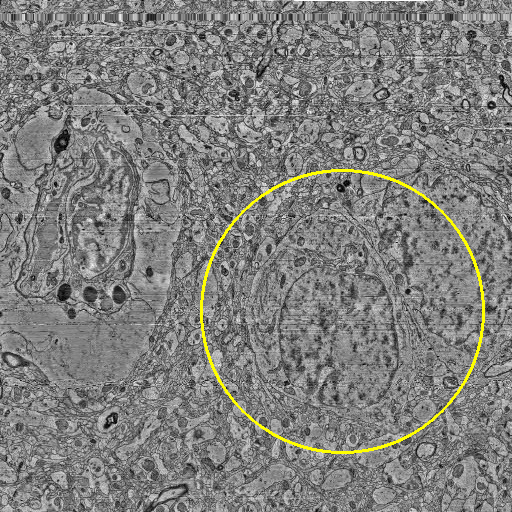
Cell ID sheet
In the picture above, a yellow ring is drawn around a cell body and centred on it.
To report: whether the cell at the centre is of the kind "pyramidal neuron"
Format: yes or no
no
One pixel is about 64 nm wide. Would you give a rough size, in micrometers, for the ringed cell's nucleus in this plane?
Approximately 10 micrometres long and 8 micrometres wide, in this plane.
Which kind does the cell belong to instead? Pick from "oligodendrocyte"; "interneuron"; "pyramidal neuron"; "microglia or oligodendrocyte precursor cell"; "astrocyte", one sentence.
At the centre of the ring sits an interneuron.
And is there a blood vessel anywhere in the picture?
Yes, there is a blood vessel.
